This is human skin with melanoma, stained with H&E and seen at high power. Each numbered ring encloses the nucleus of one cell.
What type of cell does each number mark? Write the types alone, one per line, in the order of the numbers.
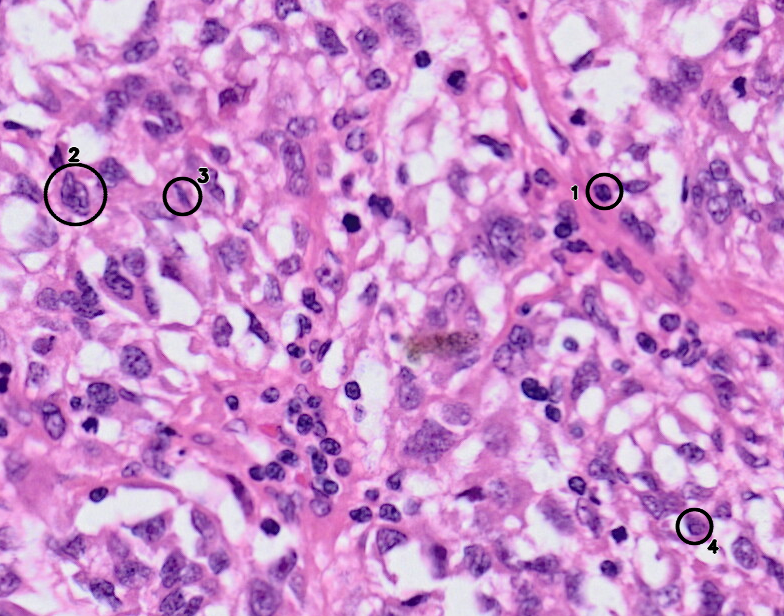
lymphocyte
melanoma cell
melanoma cell
melanoma cell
